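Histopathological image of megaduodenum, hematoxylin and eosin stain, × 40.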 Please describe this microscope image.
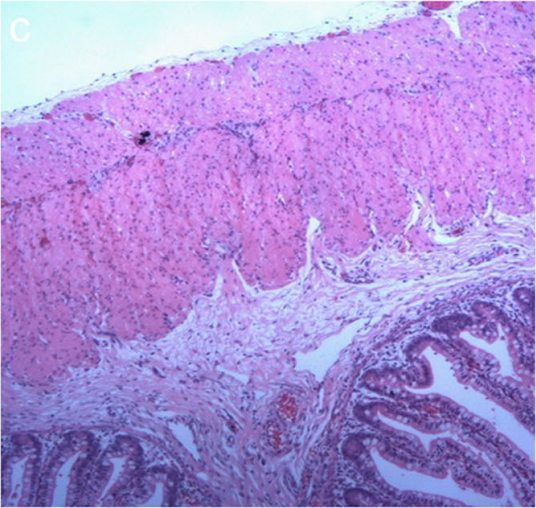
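A thick band of pink smooth muscle runs across the upper part, with small dark elongated nuclei lying among the fibres. Beneath the muscle lies a paler zone of loose connective tissue containing small blood vessels filled with red cells. In the lower right corner the mucosa appears, with folded glandular epithelium lined by tall cells with purple nuclei.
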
